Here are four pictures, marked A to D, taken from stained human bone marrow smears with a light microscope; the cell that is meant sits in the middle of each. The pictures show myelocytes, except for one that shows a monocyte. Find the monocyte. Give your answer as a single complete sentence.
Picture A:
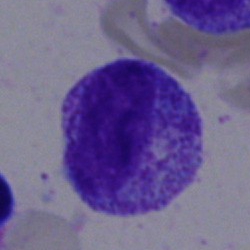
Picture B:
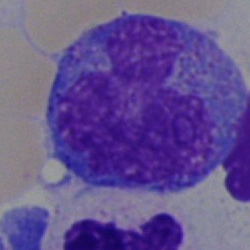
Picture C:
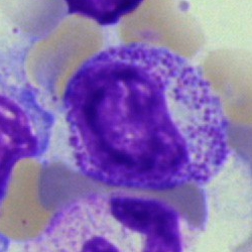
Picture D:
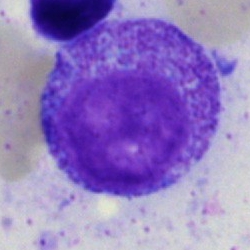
It is picture B that shows the monocyte.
